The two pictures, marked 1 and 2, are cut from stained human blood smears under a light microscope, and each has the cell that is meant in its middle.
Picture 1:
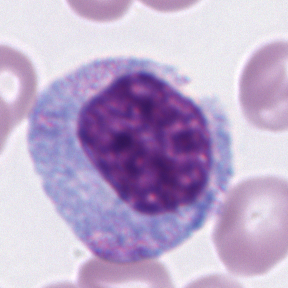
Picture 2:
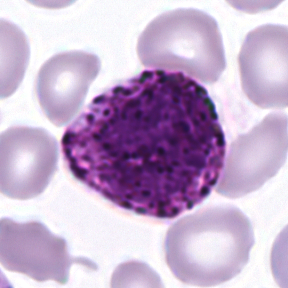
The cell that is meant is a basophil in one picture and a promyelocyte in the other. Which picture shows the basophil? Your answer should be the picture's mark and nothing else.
2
